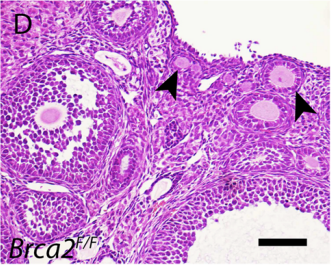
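Ovarian tissue with growing follicles at different developmental stages. Larger follicles at left show multiple cell layers, and a pale fluid-filled space appears at lower right. Between follicles lies stroma of spindle-shaped cells with elongated nuclei and a few small vessels. The surface of the ovary runs along the upper right edge.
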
